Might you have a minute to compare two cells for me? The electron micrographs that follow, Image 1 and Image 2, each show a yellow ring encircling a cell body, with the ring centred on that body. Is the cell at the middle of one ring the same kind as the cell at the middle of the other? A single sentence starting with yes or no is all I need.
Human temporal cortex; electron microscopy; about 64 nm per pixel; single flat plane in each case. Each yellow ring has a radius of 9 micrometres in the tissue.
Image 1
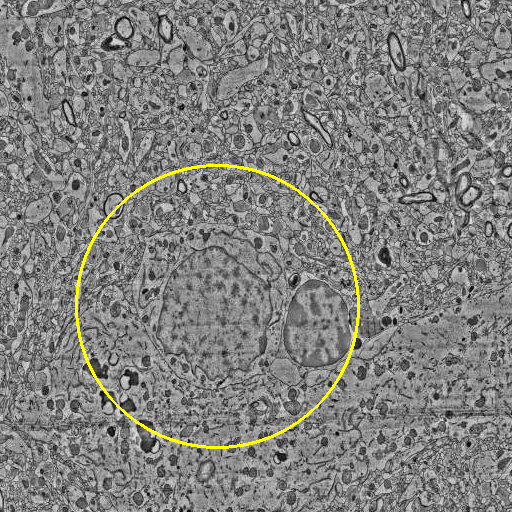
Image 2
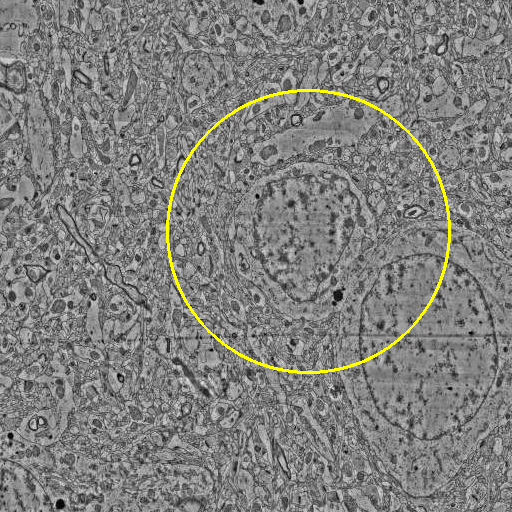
Yes, the cells in the middle of the two rings are of one shared kind.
